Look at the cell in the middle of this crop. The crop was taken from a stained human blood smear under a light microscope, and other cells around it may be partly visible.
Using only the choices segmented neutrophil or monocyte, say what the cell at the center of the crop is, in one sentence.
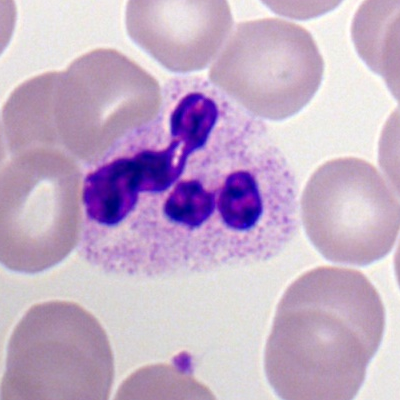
In the central position of this crop, the cell is a segmented neutrophil.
